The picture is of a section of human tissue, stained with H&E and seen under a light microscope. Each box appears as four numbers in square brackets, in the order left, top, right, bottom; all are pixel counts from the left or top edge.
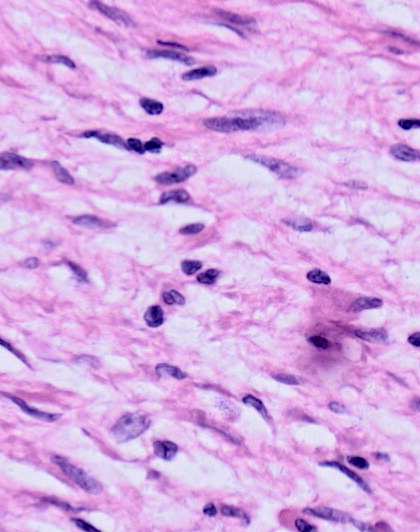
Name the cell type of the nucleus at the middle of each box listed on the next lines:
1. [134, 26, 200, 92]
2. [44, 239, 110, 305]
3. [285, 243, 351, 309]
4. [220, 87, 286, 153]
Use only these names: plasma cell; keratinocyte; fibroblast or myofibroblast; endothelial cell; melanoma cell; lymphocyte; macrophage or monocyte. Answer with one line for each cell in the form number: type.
1: fibroblast or myofibroblast
2: fibroblast or myofibroblast
3: lymphocyte
4: fibroblast or myofibroblast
